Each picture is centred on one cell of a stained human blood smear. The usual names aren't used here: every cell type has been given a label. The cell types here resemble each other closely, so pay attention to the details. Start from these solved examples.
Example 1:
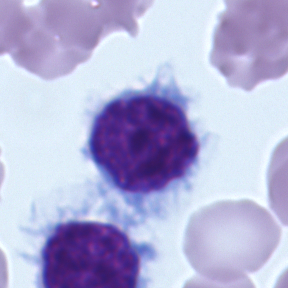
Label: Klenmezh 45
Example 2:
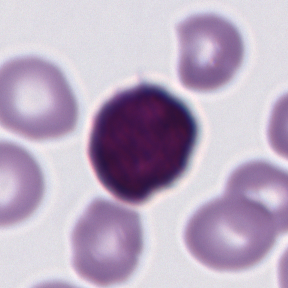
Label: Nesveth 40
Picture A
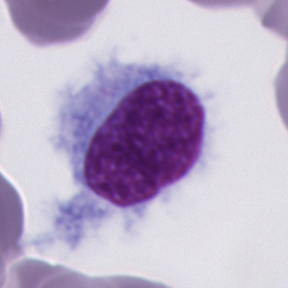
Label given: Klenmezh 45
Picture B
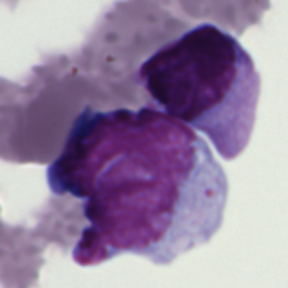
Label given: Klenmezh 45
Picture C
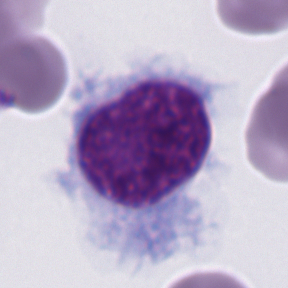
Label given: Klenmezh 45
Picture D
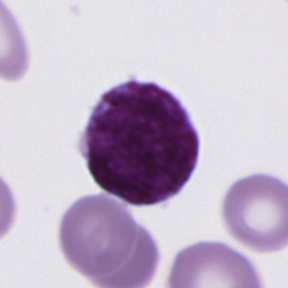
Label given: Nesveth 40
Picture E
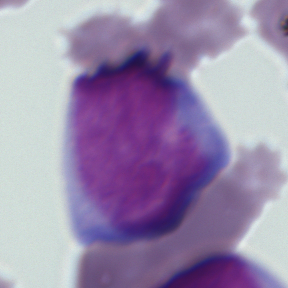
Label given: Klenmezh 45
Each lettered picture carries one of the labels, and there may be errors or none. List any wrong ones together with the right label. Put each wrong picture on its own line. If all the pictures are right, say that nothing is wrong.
Wrong: B (Klenmezh 45); correct: Nesveth 40
Wrong: E (Klenmezh 45); correct: Nesveth 40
